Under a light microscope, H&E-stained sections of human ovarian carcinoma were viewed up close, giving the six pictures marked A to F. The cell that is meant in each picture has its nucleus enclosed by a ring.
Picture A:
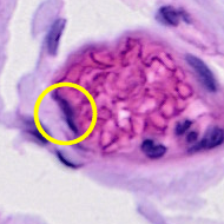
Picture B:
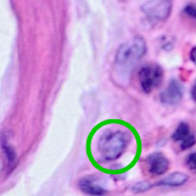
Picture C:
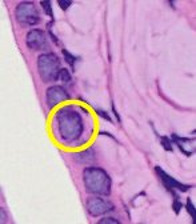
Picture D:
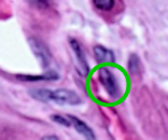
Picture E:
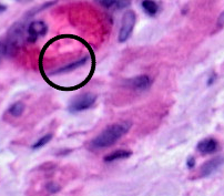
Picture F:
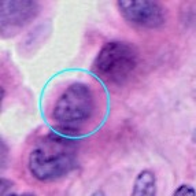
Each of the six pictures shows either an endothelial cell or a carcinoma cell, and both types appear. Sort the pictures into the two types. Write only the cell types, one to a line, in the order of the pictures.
endothelial cell
endothelial cell
carcinoma cell
endothelial cell
endothelial cell
carcinoma cell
